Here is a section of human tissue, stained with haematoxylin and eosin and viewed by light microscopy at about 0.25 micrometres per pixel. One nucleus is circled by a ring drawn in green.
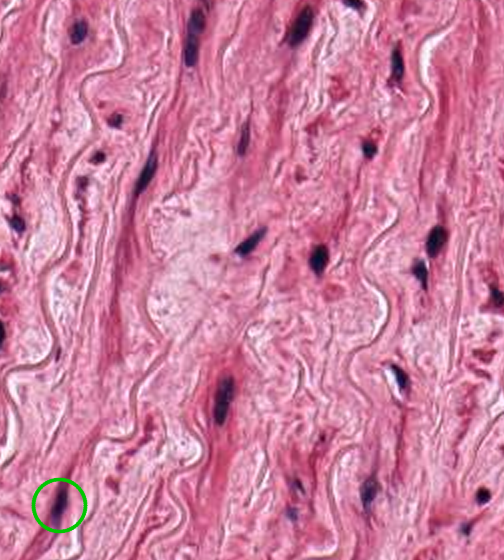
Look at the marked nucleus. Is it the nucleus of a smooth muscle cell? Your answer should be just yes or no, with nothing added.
yes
